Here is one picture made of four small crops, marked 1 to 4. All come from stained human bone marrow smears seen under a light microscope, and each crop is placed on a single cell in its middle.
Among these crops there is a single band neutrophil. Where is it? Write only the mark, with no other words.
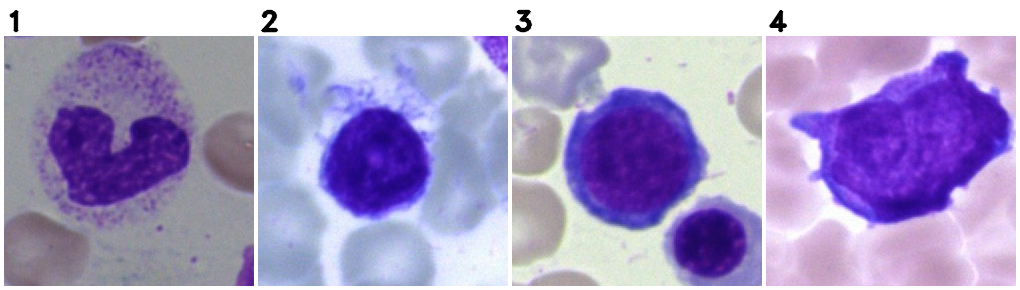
1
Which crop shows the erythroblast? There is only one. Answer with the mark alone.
3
